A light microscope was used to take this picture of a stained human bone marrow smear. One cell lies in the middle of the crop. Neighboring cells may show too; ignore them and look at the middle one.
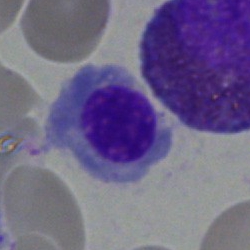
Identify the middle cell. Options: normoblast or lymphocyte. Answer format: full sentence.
This crop has a normoblast at its centre.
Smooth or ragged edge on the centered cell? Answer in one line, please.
The periphery of this cell is uneven, with ragged portions or projections.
